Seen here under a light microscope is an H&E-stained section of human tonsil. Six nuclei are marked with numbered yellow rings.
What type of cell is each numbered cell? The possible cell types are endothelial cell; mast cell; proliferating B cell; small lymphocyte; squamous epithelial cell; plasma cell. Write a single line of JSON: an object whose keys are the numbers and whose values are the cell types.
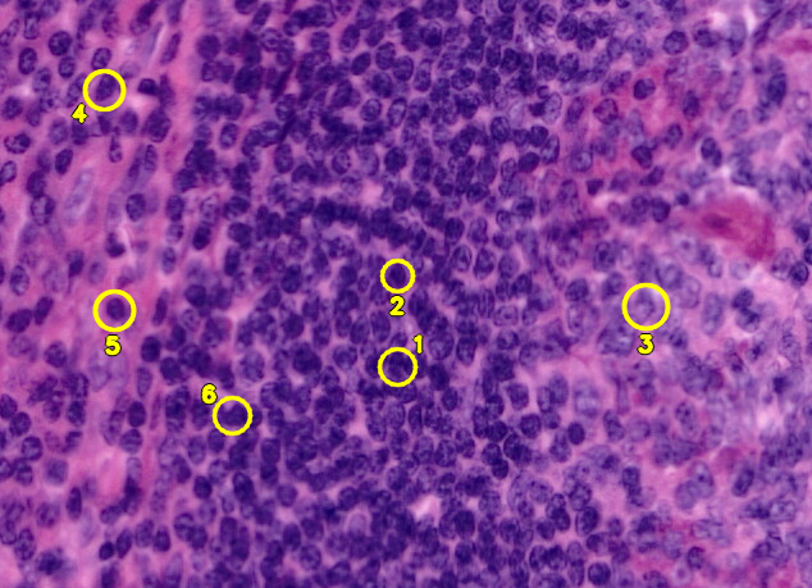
{"1": "small lymphocyte", "2": "small lymphocyte", "3": "proliferating B cell", "4": "plasma cell", "5": "endothelial cell", "6": "small lymphocyte"}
